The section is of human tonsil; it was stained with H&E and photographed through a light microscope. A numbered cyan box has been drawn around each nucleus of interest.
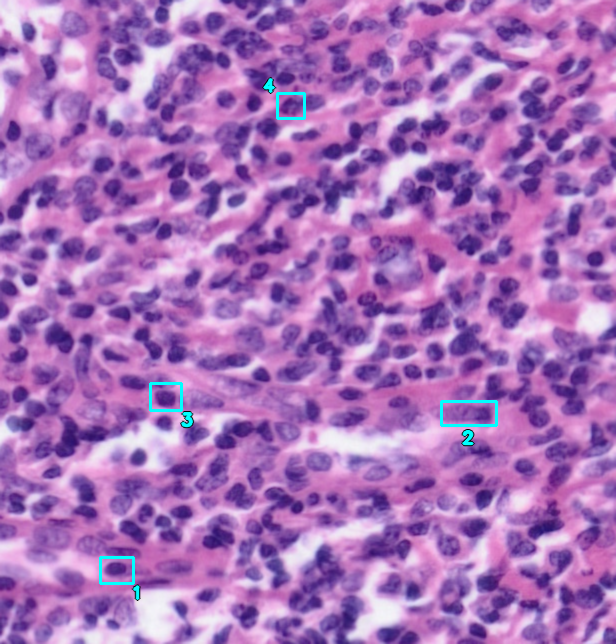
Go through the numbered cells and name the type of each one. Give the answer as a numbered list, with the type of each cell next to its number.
1. endothelial cell
2. endothelial cell
3. endothelial cell
4. plasma cell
